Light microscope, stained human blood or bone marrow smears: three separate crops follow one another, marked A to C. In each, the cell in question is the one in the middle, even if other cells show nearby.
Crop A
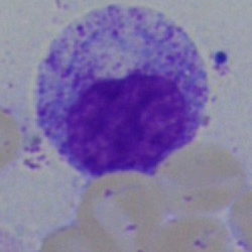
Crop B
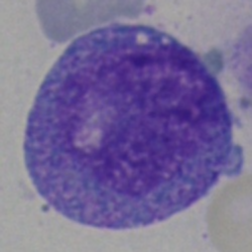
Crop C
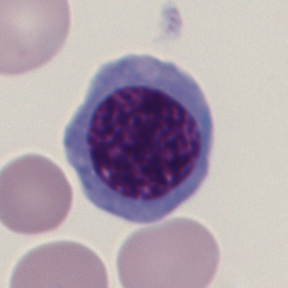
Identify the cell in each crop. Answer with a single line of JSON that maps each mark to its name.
{"A": "myelocyte", "B": "promyelocyte", "C": "erythroblast"}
